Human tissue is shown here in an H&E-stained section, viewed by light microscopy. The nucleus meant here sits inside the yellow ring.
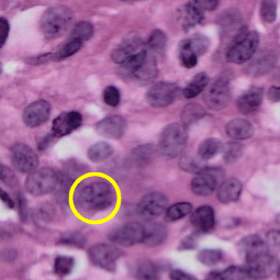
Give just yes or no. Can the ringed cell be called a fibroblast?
no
